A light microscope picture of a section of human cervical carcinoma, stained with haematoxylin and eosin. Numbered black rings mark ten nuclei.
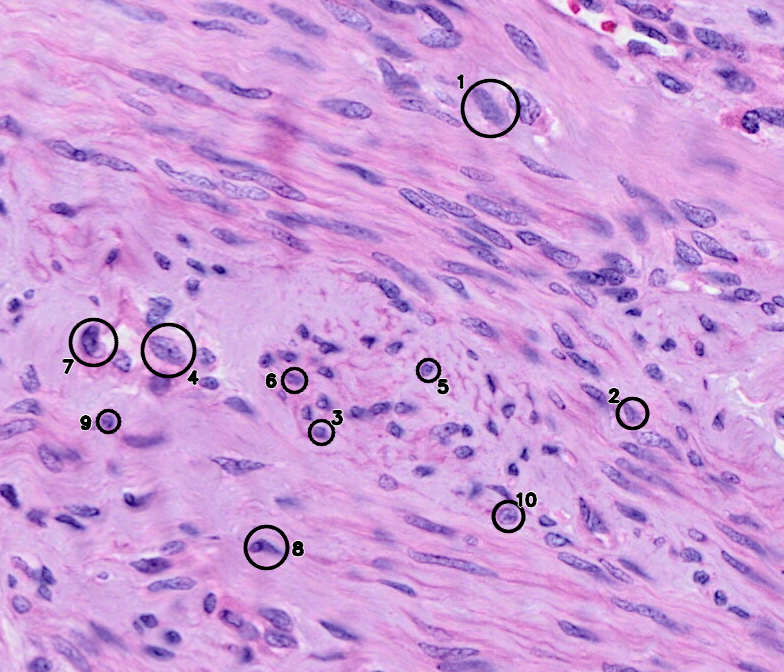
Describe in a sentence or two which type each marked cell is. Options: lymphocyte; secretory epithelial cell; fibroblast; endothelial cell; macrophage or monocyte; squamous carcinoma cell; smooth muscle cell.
Cells 1 and 8 are fibroblasts. Cells 2, 3, 5, 6, 9 and 10 are smooth muscle cells. Cells 4 and 7 are endothelial cells.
